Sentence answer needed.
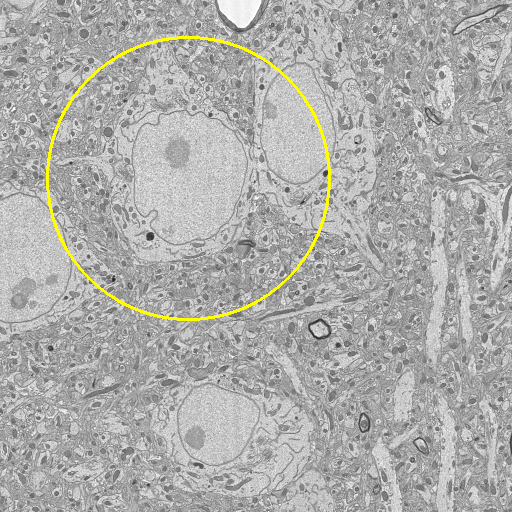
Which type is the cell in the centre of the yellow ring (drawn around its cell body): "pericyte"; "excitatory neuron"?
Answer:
In the centre of the yellow ring is an excitatory neuron.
